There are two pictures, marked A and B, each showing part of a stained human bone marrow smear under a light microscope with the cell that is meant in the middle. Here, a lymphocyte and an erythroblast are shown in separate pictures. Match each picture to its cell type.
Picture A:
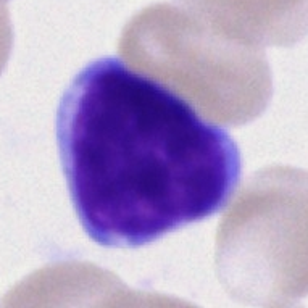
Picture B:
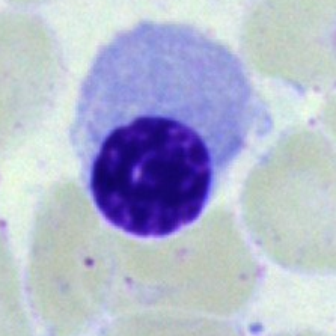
A: lymphocyte
B: erythroblast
